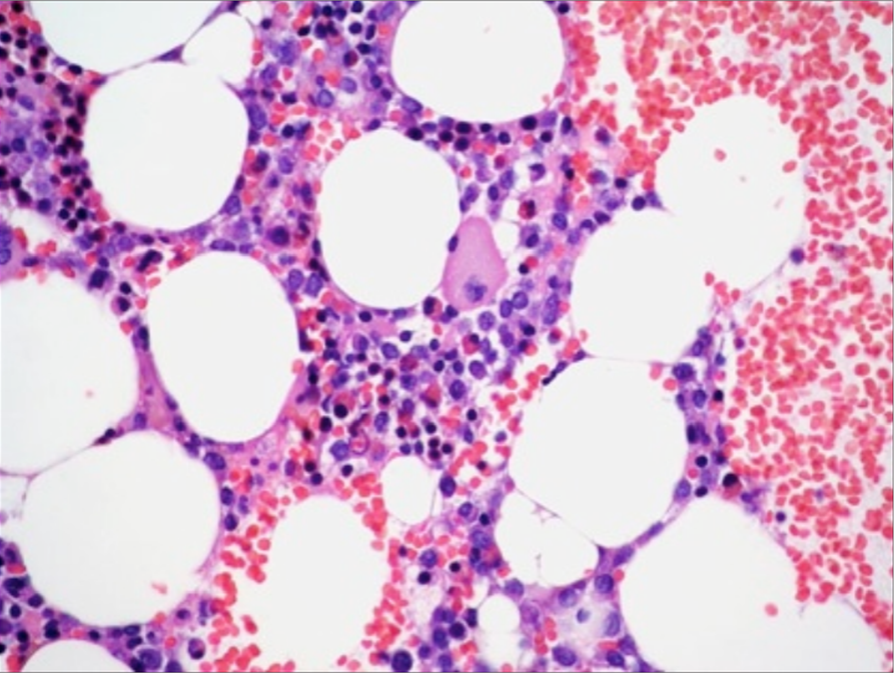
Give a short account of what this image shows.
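This is a section of bone marrow in which large, round, empty fat spaces take up much of the field. Narrow strands and small clusters of cells lie between them. Many of these cells are small and round, with dense, dark purple nuclei and little cytoplasm. Near the centre lies one large cell with abundant pink cytoplasm and a small, compact nucleus that is not divided into lobes. Loose red blood cells are scattered between the cells and fill a broad area on the right side of the field.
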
